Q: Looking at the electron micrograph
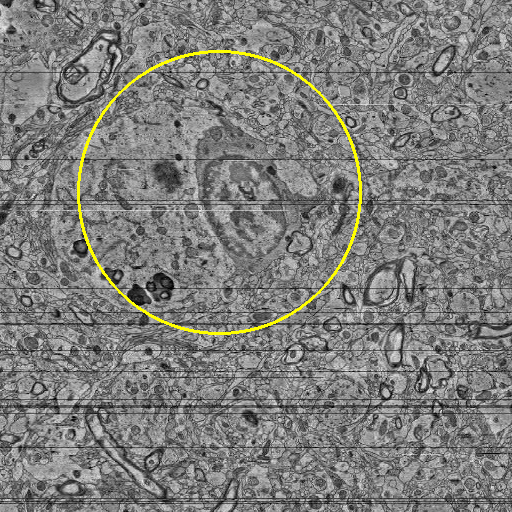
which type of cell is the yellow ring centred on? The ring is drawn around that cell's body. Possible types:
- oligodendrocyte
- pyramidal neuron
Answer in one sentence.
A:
The yellow ring is centred on an oligodendrocyte.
